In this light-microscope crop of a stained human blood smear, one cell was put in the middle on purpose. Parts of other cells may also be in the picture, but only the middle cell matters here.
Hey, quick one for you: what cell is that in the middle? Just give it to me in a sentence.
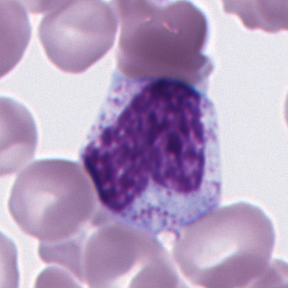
Looking at the middle of the crop, the cell there is a band neutrophil.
